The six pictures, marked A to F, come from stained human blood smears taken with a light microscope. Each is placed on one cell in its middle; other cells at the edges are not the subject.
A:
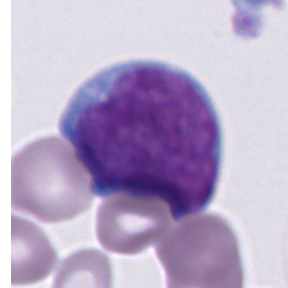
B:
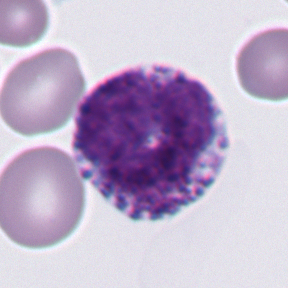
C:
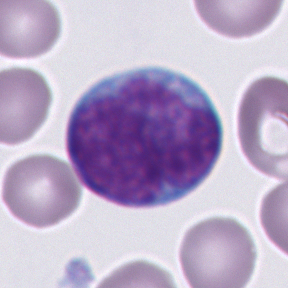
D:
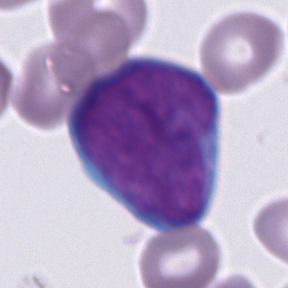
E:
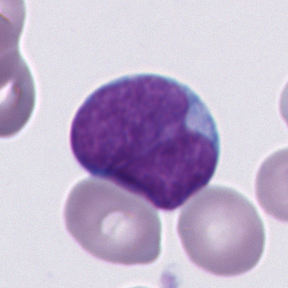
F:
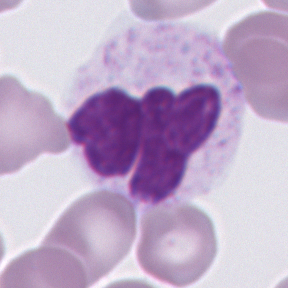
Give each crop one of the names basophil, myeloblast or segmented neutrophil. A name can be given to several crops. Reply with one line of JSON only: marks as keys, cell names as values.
{"A": "myeloblast", "B": "basophil", "C": "myeloblast", "D": "myeloblast", "E": "myeloblast", "F": "segmented neutrophil"}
